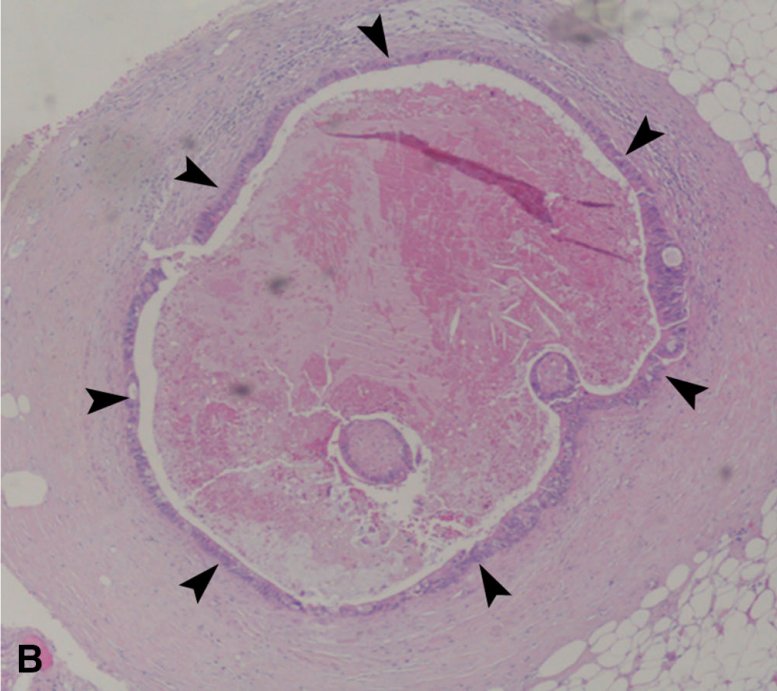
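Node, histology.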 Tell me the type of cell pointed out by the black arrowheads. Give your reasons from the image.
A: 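The arrowheads point at a dark purple band of nucleated cells. This band forms a ring around the pale pink central area. The band lies just inside the outer pink fibrous wall.
Viable tumor cells.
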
